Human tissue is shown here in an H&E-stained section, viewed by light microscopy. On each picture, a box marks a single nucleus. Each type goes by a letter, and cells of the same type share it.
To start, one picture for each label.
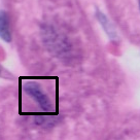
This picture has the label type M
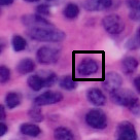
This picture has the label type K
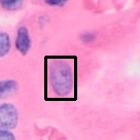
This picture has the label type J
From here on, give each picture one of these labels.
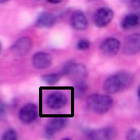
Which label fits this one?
type K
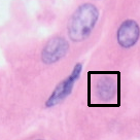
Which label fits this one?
type J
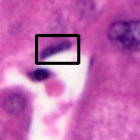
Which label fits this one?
type M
